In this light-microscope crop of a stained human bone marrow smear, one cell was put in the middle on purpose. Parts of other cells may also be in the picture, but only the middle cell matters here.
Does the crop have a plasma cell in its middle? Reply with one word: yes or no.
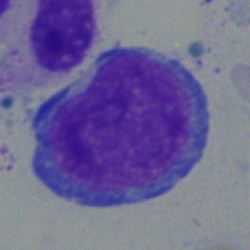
no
